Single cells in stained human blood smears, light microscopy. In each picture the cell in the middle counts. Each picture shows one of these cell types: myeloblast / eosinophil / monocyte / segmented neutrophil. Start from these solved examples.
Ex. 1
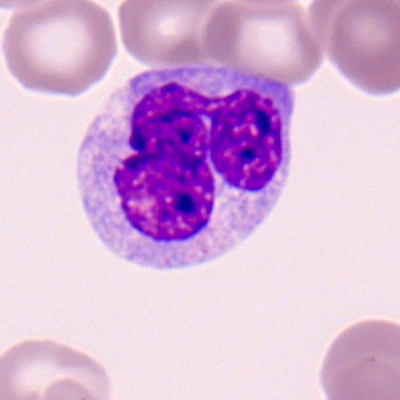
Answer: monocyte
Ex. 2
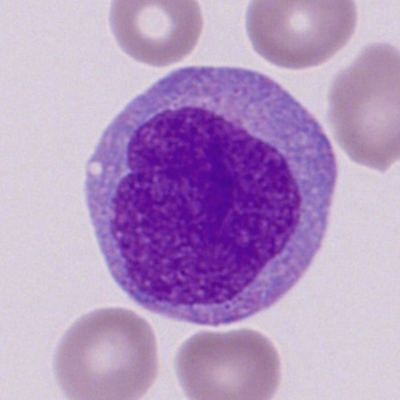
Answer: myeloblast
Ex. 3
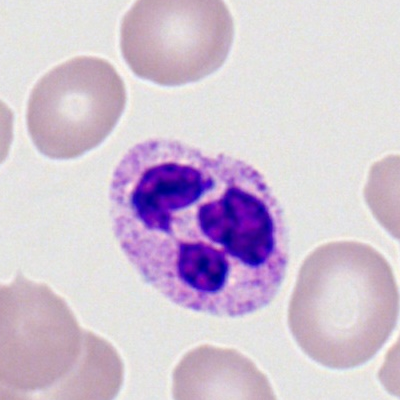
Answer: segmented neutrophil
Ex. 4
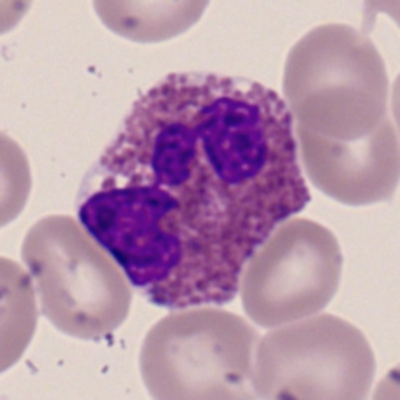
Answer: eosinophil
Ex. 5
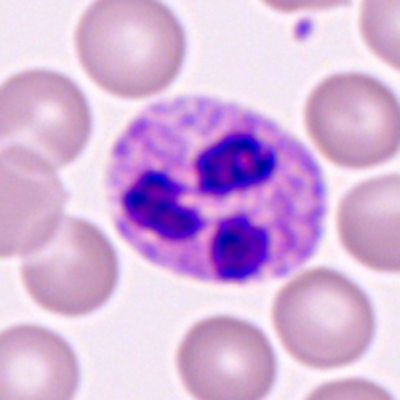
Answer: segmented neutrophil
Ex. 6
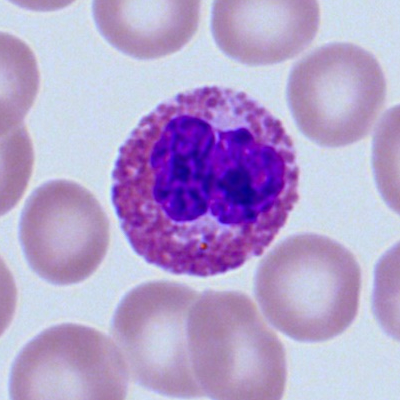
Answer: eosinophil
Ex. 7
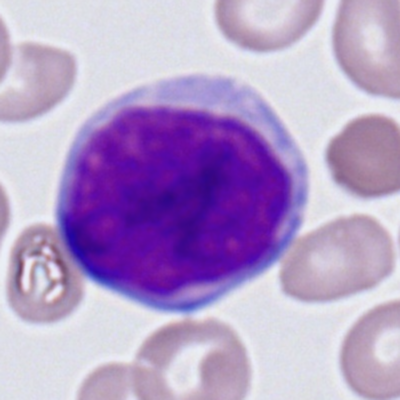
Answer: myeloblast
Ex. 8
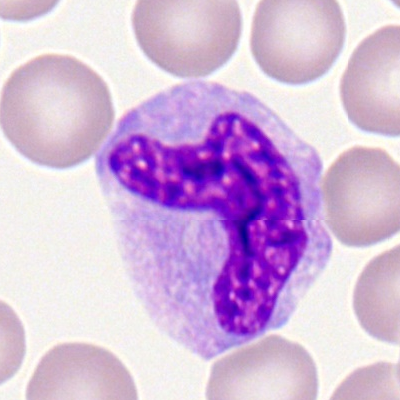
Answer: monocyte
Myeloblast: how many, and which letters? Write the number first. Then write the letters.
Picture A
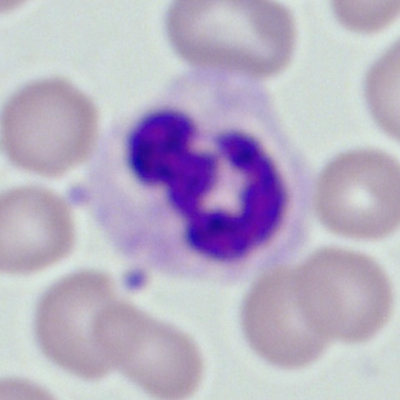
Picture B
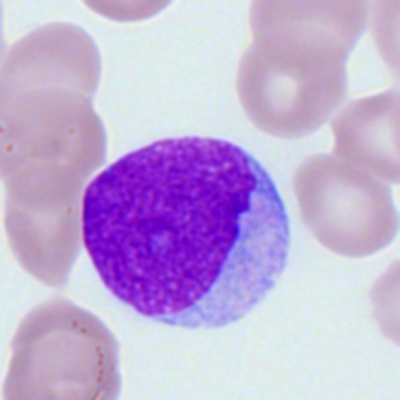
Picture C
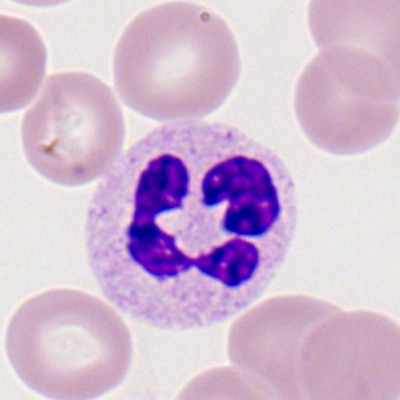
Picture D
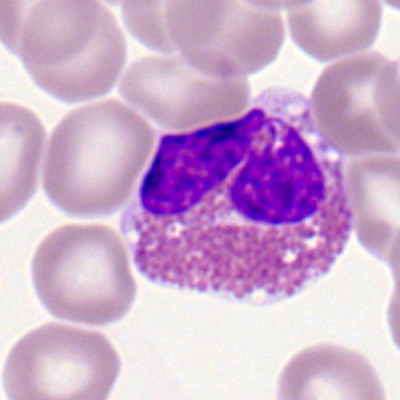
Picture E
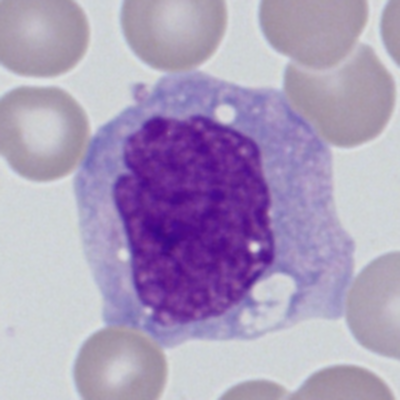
1: B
